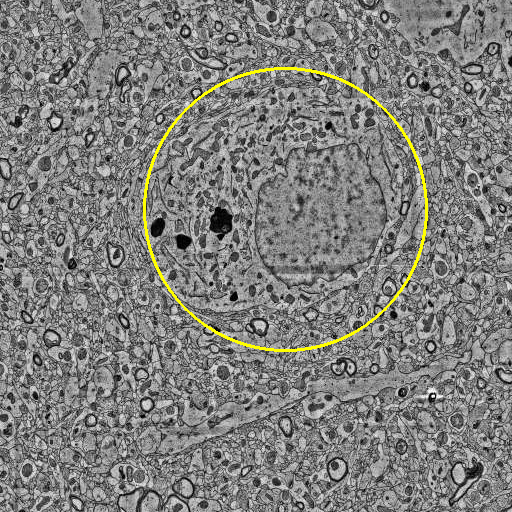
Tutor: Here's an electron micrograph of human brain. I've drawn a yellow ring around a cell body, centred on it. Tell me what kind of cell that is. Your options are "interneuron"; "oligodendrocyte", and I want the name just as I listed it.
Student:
interneuron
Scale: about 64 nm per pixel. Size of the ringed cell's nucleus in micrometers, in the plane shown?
Roughly 10 micrometres by 8 micrometres, in this plane.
